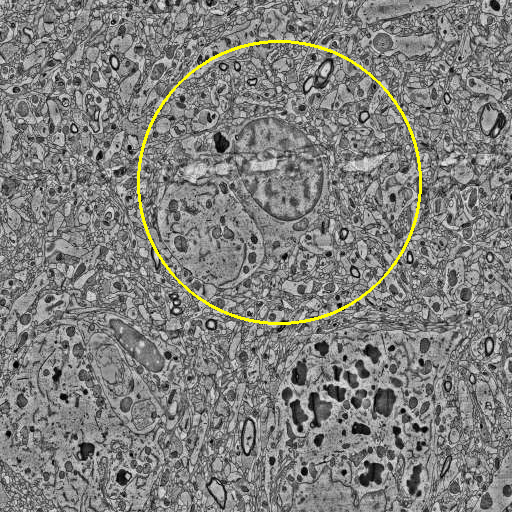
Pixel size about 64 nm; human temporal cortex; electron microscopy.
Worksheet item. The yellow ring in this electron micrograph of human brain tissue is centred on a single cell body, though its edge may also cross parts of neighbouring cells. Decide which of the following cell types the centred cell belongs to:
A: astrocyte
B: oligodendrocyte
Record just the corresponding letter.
B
